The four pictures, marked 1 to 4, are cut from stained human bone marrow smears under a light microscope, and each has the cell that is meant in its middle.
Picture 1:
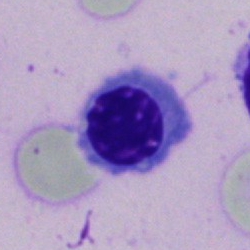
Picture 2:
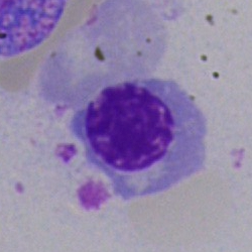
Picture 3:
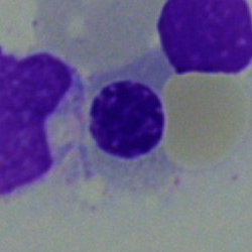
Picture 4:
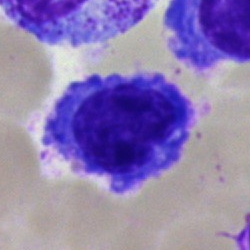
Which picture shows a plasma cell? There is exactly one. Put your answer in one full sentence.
Picture 4 is the one that shows the plasma cell.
